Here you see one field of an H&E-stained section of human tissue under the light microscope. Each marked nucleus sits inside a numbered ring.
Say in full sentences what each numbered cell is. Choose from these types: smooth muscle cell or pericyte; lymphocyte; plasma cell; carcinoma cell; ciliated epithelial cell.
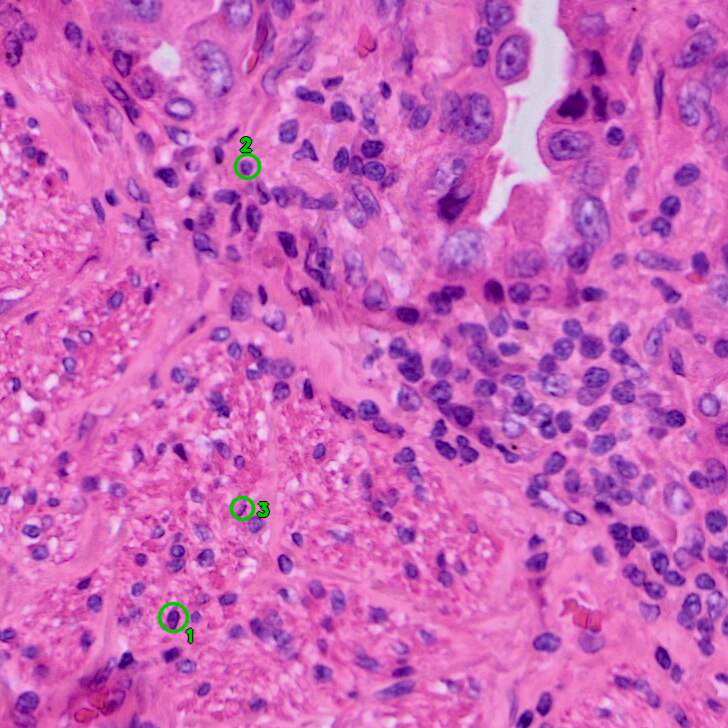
Cells 1 and 3 are smooth muscle cells or pericytes. Cell 2 is a lymphocyte.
